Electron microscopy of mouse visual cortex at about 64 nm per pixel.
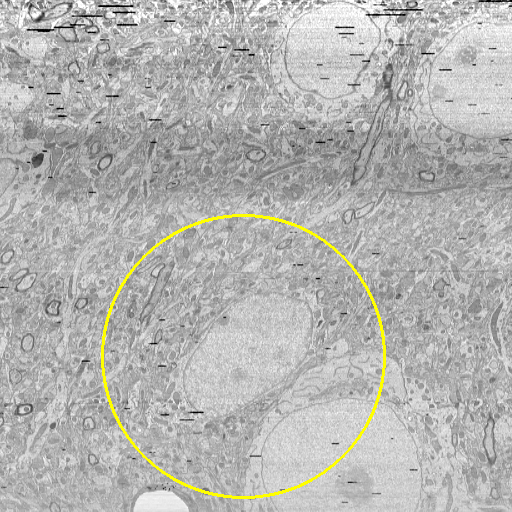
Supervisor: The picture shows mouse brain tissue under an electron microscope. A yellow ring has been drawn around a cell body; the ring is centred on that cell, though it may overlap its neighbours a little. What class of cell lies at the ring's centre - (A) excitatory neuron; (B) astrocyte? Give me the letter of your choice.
B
